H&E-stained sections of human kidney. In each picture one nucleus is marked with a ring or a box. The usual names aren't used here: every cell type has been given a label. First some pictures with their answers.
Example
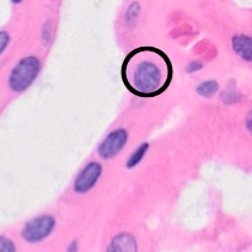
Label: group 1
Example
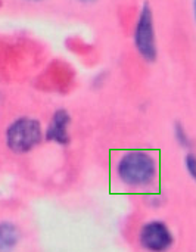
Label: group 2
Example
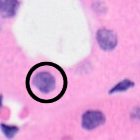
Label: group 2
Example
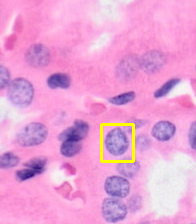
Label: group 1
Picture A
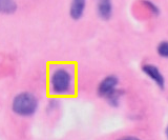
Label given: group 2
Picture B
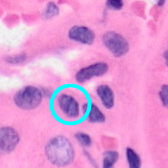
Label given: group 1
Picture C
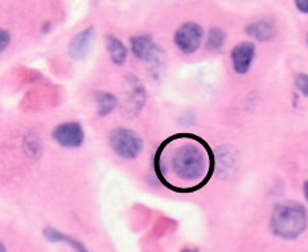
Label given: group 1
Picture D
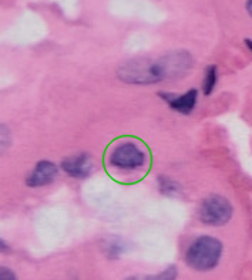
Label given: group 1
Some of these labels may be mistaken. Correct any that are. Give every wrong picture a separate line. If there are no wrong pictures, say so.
D should be group 2, not group 1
